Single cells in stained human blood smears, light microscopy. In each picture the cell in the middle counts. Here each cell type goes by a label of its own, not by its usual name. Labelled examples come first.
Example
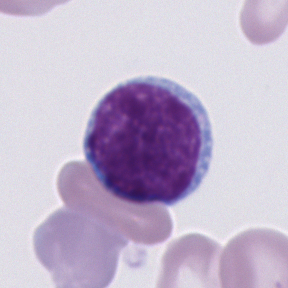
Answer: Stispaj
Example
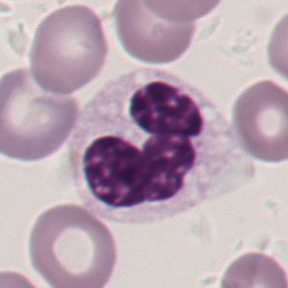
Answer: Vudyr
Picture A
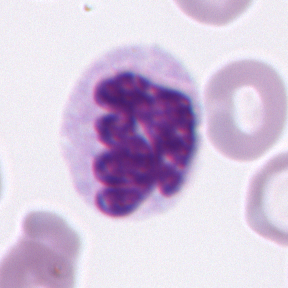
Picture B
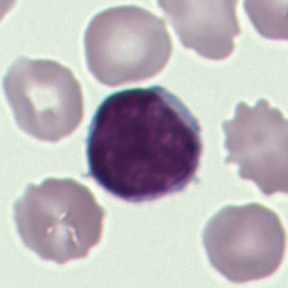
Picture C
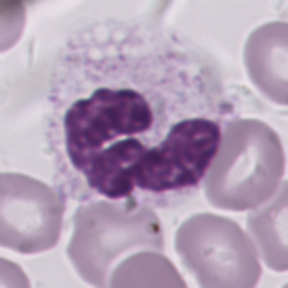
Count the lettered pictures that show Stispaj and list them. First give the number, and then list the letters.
Count: 1 (B)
